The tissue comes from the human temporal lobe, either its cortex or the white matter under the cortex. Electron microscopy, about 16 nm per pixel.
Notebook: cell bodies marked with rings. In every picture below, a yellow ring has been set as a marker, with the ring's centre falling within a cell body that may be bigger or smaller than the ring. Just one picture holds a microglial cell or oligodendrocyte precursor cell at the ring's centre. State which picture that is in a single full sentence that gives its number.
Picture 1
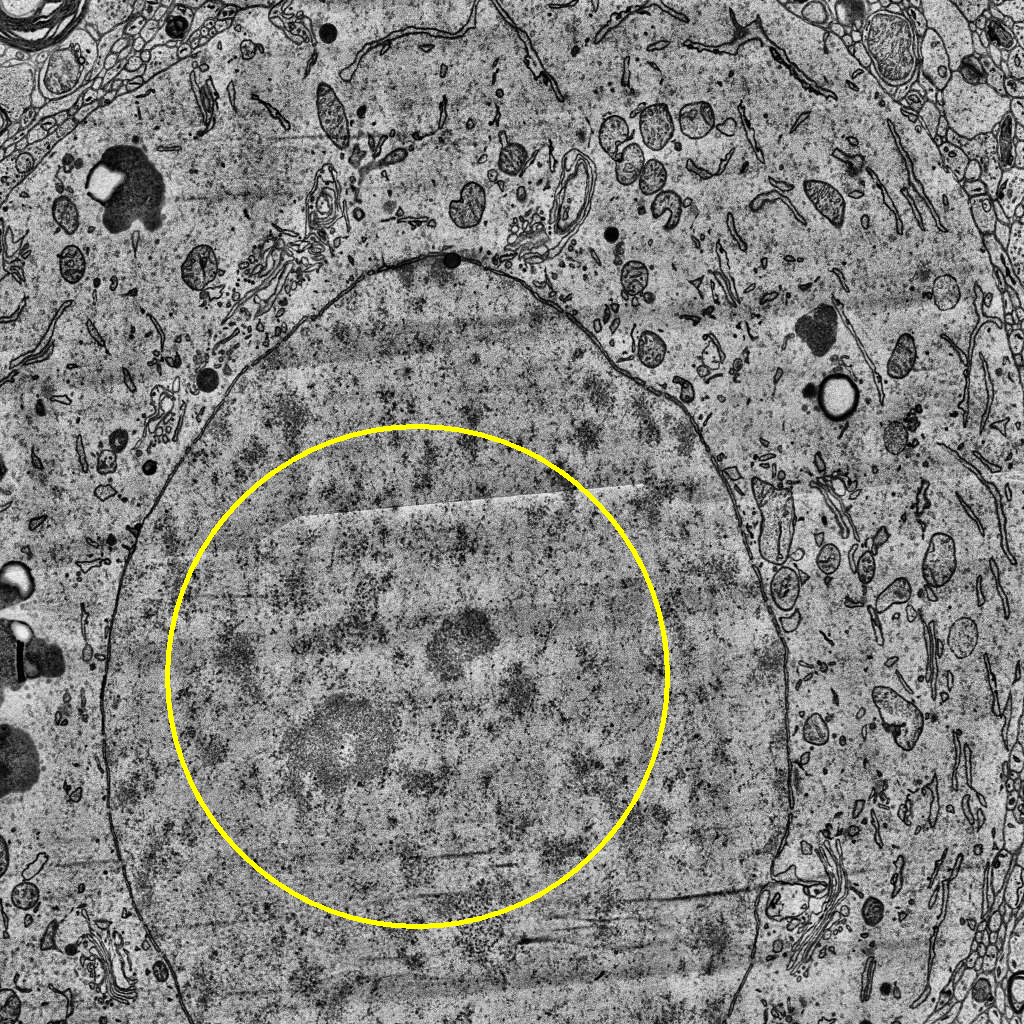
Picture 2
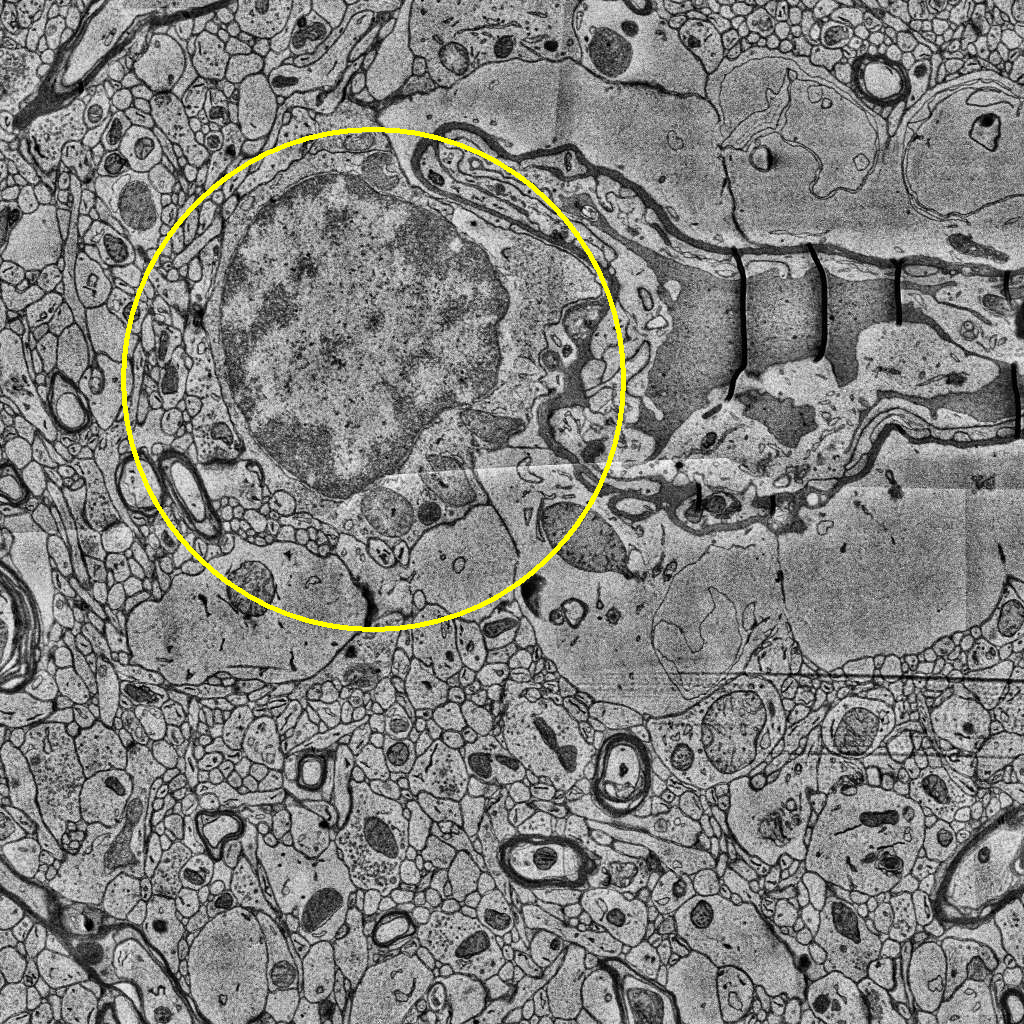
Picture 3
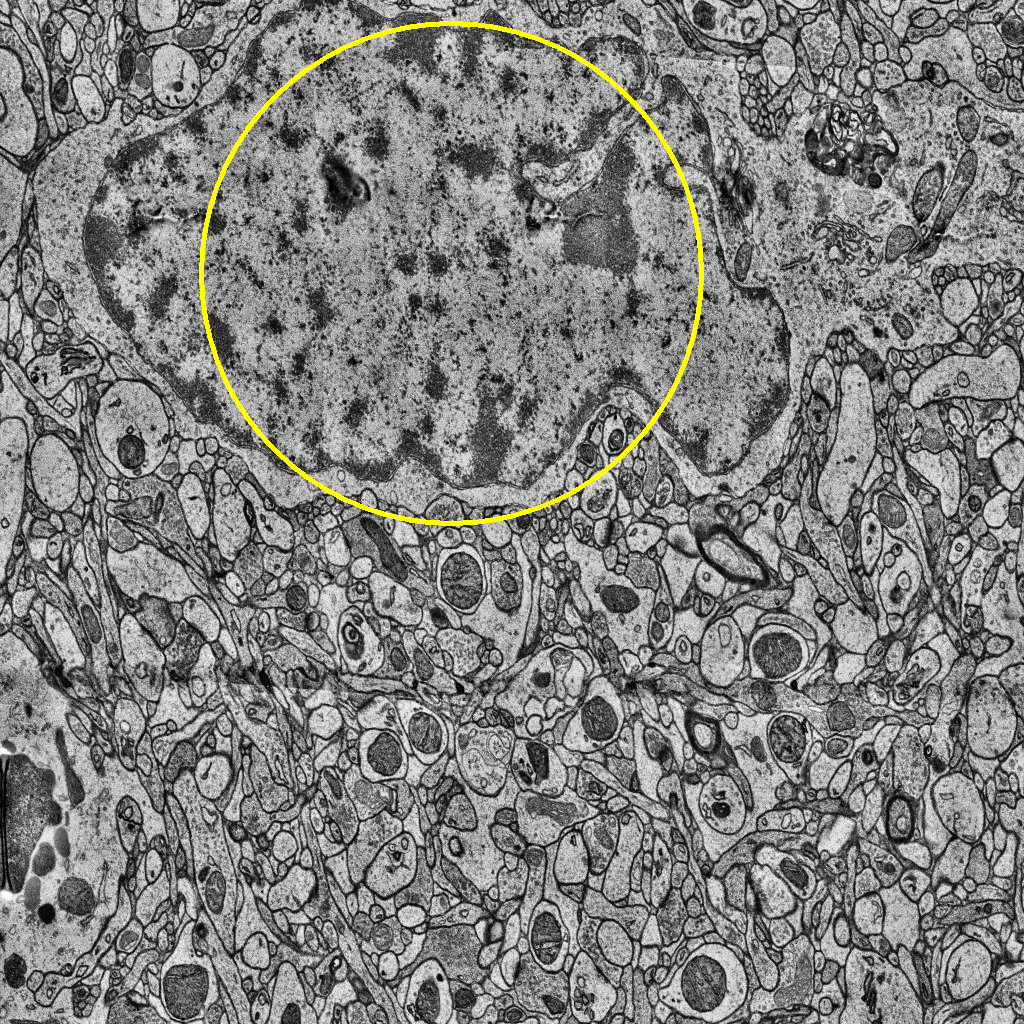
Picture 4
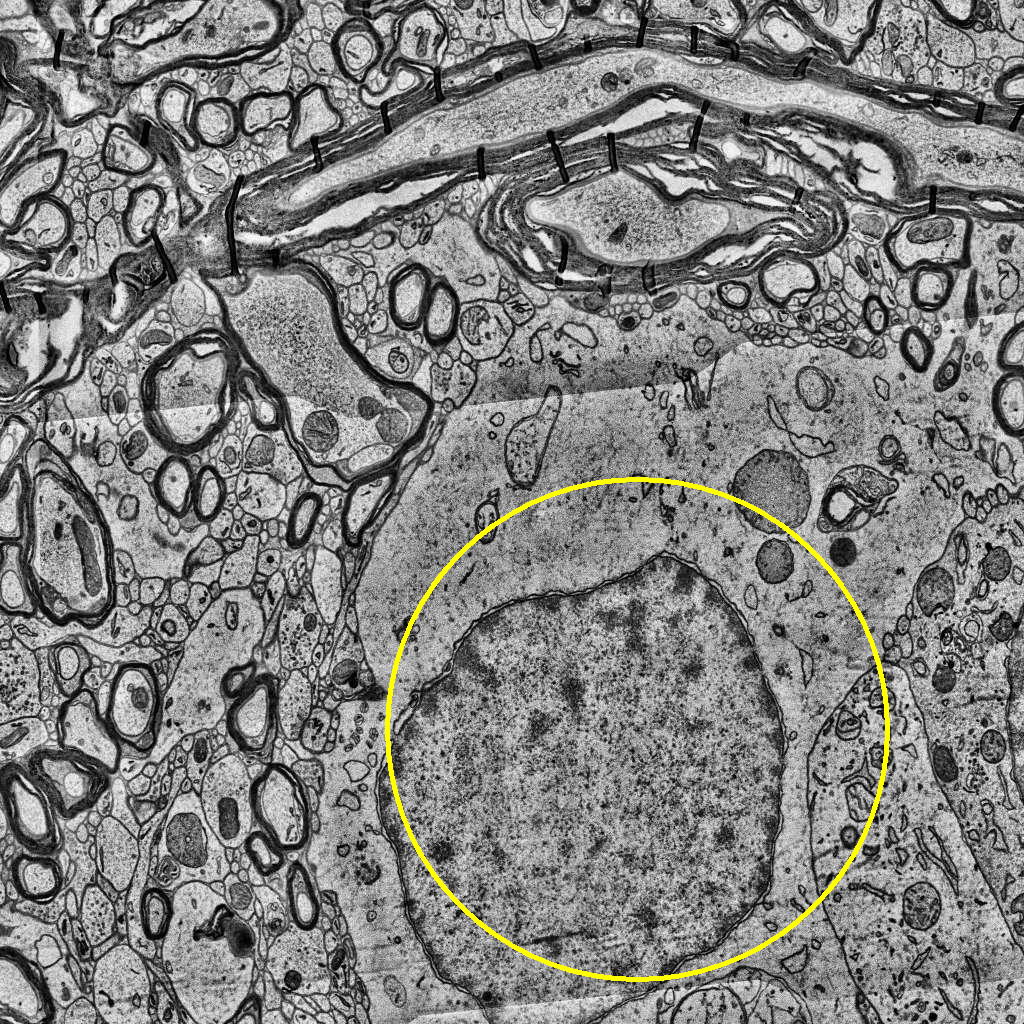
It is picture 3 whose ring has the wanted cell right at its centre.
